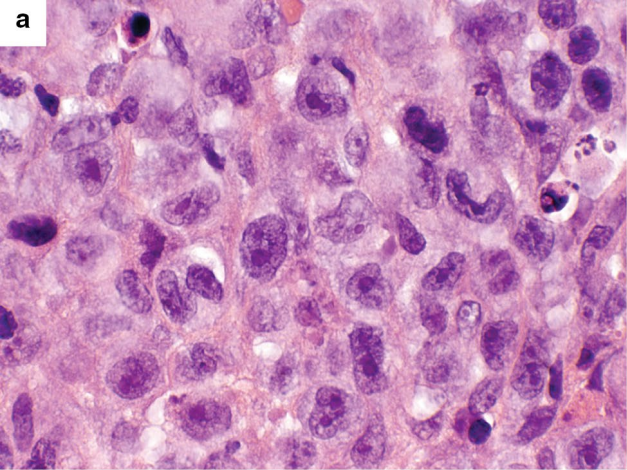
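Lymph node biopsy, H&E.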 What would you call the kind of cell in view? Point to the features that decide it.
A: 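Large and pleomorphic lymphocytes. Sheets of large cells with big nuclei fill the field. Nuclei vary in size and shape, some irregular or kidney-shaped. Some very dark, hyperchromatic nuclei are scattered among them.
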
